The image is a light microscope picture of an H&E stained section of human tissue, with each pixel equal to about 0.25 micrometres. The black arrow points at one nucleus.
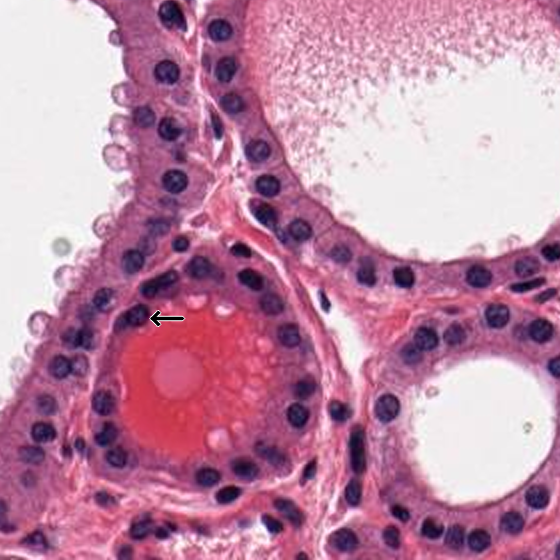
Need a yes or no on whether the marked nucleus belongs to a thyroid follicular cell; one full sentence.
Yes, the nucleus shown with the mark belongs to a thyroid follicular cell.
